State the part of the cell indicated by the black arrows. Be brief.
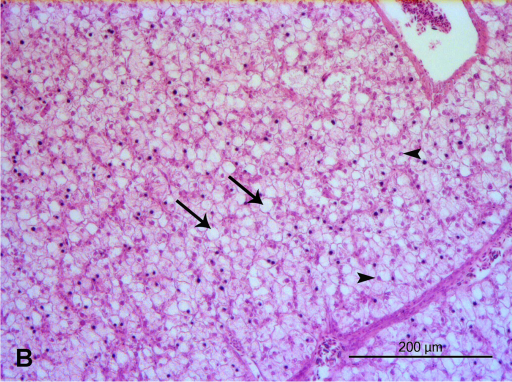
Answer: Lipid droplets.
